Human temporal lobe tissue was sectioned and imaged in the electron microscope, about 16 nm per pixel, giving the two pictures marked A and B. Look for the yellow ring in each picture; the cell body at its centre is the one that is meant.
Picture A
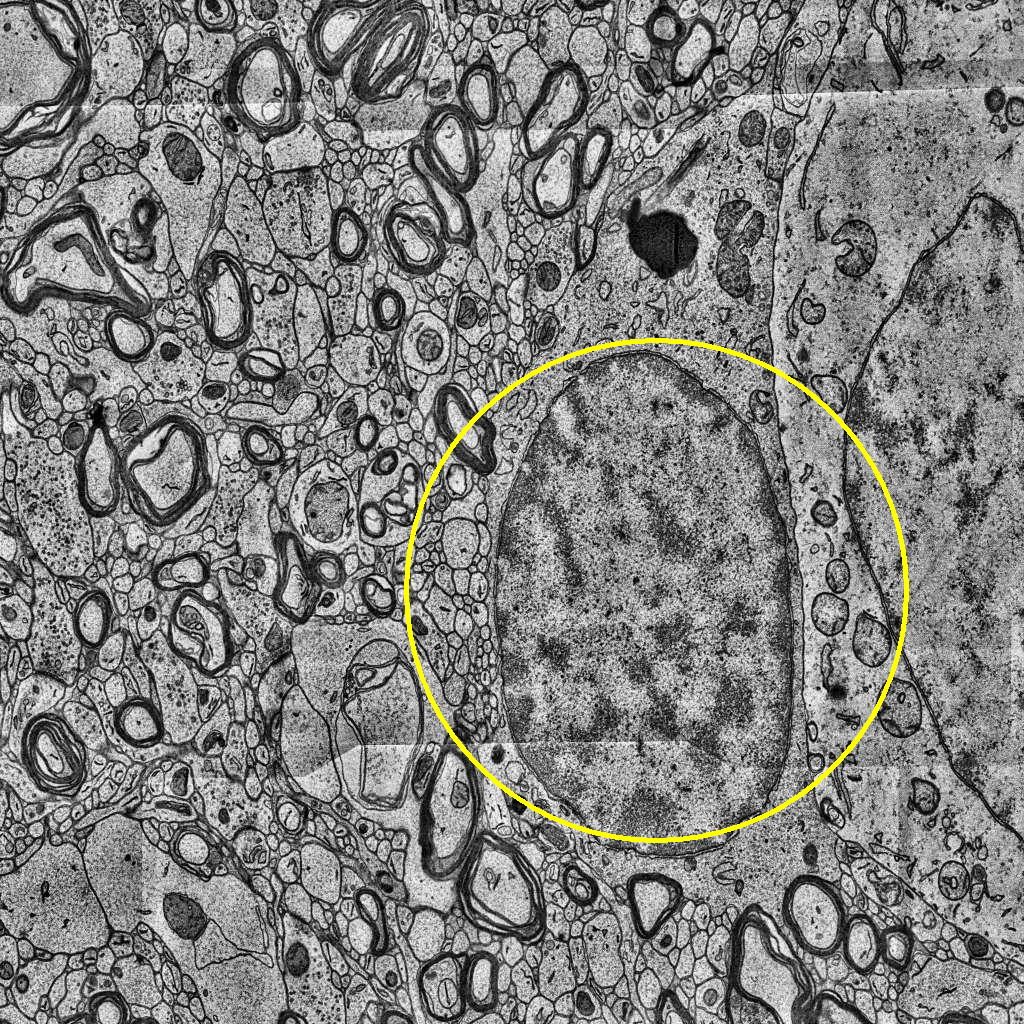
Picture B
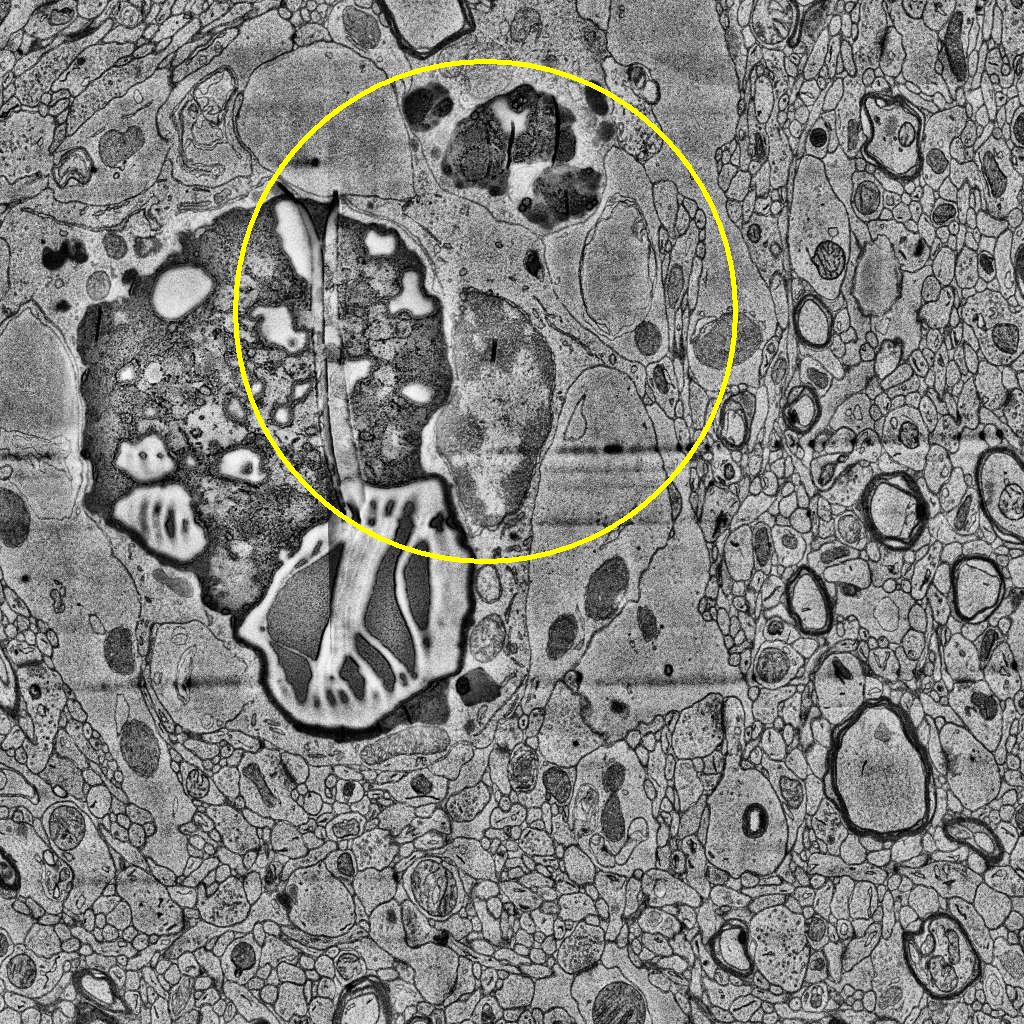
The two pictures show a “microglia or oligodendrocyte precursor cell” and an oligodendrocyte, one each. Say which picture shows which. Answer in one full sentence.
In picture A the cell is an oligodendrocyte; in picture B, a “microglia or oligodendrocyte precursor cell”.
